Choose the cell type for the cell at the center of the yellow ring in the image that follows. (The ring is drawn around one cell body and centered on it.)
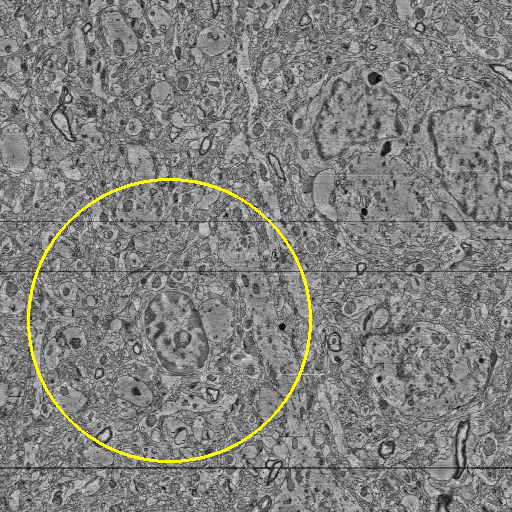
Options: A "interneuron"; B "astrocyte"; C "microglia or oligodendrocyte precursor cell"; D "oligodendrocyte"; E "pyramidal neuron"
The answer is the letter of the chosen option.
C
